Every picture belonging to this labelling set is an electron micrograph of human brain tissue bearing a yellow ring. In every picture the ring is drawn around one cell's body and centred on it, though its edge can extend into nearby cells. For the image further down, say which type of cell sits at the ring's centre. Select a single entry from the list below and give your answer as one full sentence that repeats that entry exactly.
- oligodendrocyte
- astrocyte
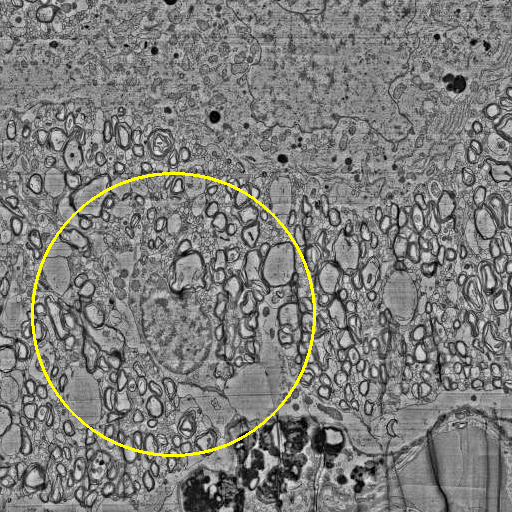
In the picture, an oligodendrocyte is the cell at the centre of the yellow ring.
